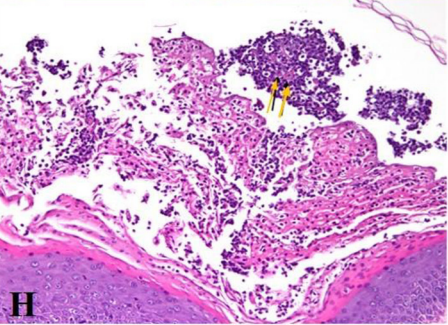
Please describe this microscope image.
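At the bottom lies the purple epidermis with a pink band of keratin above it. Over this lies loose pink material containing detached cells, and a dense cluster of small cells with dark, segmented nuclei. Further small dark cells are scattered through the pale material above.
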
